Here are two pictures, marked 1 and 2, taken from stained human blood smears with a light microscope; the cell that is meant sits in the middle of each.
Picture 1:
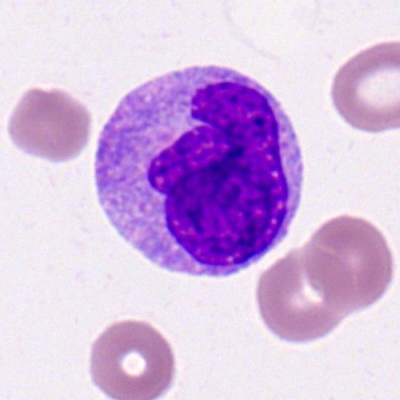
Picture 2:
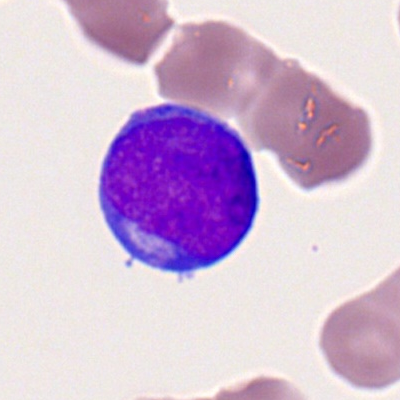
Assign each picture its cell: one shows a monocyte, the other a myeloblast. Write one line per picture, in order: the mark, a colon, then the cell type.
1: monocyte
2: myeloblast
